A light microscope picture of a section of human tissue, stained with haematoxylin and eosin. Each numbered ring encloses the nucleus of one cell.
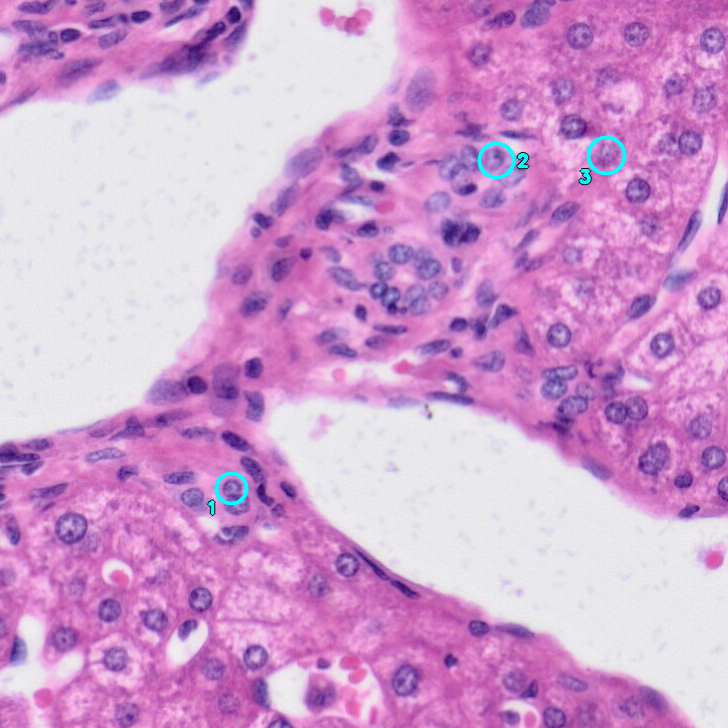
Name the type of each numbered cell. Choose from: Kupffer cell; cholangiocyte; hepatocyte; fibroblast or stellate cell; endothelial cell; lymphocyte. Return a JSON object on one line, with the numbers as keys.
{"1": "cholangiocyte", "2": "cholangiocyte", "3": "hepatocyte"}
